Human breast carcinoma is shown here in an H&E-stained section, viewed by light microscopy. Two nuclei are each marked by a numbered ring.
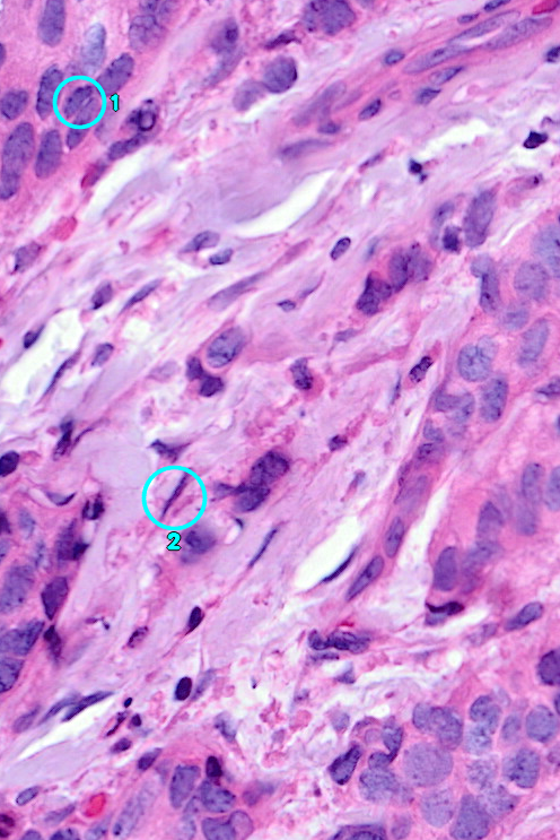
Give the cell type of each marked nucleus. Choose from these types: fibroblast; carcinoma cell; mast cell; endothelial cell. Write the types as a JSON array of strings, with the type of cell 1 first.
["carcinoma cell", "fibroblast"]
